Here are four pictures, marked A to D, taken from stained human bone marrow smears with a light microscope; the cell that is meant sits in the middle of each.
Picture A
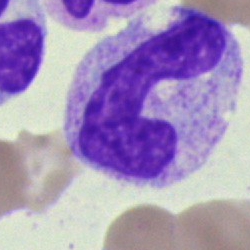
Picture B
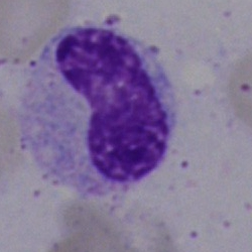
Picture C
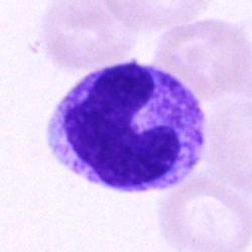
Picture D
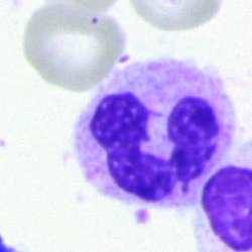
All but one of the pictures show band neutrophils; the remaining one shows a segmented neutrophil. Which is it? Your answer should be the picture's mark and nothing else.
D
